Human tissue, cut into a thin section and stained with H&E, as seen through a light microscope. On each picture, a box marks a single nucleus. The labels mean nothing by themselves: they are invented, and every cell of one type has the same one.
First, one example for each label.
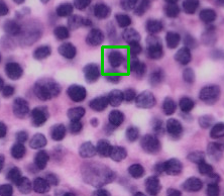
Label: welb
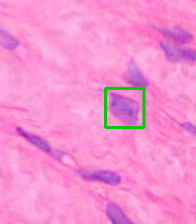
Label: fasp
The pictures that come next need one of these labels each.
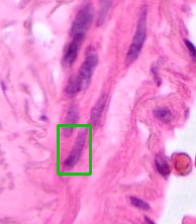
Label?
fasp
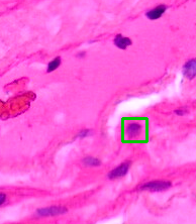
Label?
fasp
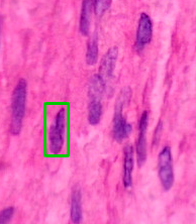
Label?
fasp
